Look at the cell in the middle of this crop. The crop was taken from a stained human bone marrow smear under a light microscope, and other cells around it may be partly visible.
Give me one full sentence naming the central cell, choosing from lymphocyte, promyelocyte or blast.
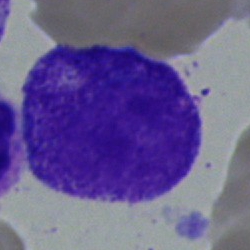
The cell shown in the center of this light-microscope crop is a promyelocyte.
